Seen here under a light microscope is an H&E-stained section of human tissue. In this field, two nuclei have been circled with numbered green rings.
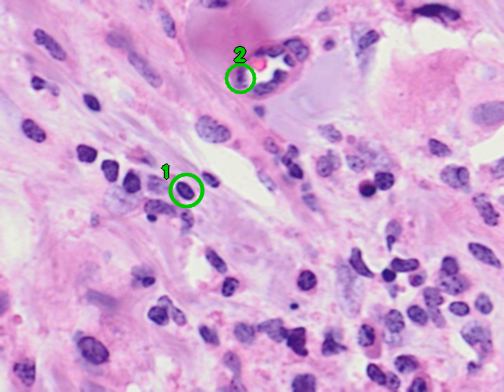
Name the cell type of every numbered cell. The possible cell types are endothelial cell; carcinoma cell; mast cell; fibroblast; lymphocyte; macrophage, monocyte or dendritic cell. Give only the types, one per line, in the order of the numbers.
lymphocyte
endothelial cell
